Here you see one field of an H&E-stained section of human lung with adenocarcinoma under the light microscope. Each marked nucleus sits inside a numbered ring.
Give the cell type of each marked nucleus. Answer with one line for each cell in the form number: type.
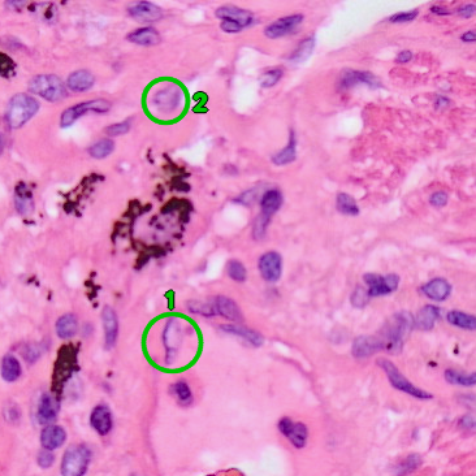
1: endothelial cell
2: fibroblast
